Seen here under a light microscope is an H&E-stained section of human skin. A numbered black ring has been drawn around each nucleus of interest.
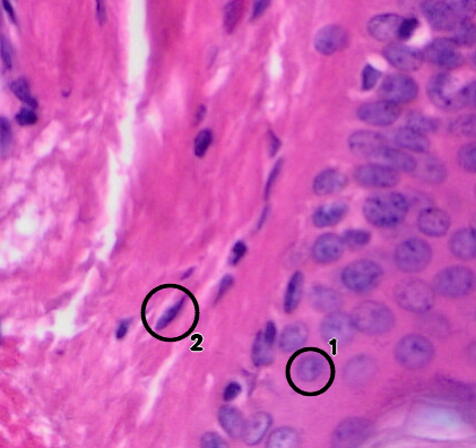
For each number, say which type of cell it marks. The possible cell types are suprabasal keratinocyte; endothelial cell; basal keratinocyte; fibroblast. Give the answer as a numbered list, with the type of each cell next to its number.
1. suprabasal keratinocyte
2. fibroblast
